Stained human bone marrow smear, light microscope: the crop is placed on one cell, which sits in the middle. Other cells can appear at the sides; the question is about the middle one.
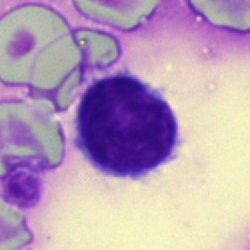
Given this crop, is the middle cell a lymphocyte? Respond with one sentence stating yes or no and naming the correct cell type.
Yes, in the centre of this field sits a lymphocyte.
